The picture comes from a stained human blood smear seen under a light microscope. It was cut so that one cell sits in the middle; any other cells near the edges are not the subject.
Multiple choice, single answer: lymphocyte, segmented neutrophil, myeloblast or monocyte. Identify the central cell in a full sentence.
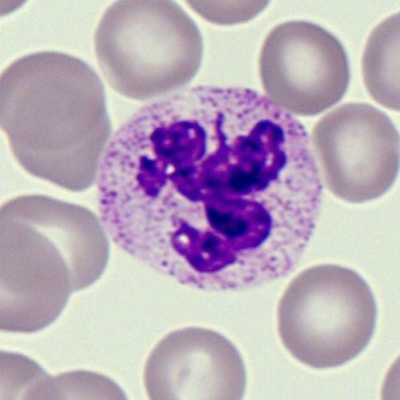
The crop's centre is taken up by a segmented neutrophil.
